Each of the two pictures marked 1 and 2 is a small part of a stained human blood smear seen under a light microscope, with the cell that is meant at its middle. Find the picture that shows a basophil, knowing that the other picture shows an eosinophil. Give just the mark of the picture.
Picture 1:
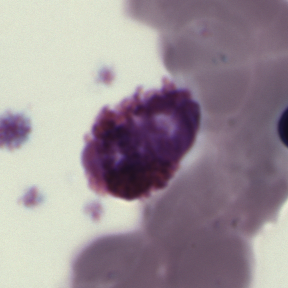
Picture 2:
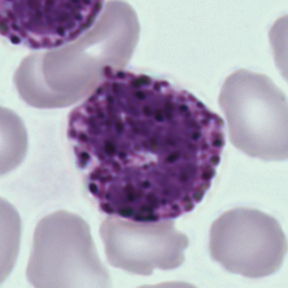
2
